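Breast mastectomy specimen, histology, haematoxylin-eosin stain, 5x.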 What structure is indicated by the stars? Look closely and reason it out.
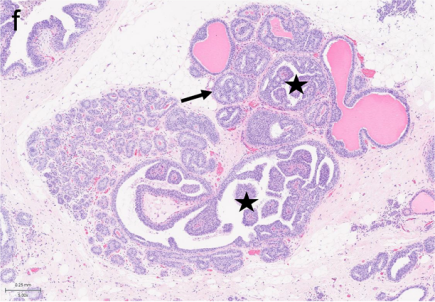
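Papillomas. The stars lie in dilated duct spaces filled with branching papillary fronds. The fronds have pale pink stromal cores lined by a purple epithelial layer.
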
